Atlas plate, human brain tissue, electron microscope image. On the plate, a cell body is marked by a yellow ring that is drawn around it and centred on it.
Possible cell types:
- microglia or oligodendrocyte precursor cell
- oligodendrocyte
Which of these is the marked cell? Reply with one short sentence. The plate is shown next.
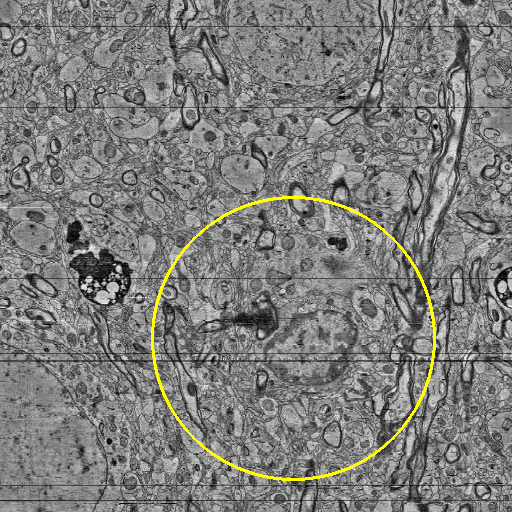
The marked cell is an oligodendrocyte.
